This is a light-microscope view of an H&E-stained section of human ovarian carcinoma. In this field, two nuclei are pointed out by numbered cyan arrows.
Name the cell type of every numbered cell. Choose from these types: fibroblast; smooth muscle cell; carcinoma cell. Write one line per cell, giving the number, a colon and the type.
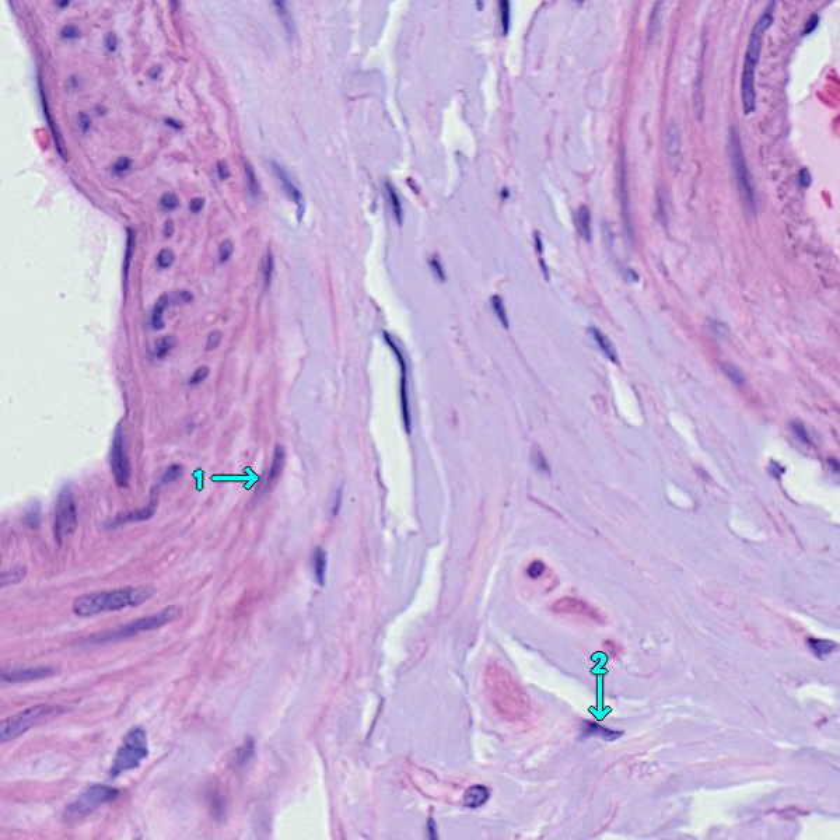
1: smooth muscle cell
2: fibroblast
